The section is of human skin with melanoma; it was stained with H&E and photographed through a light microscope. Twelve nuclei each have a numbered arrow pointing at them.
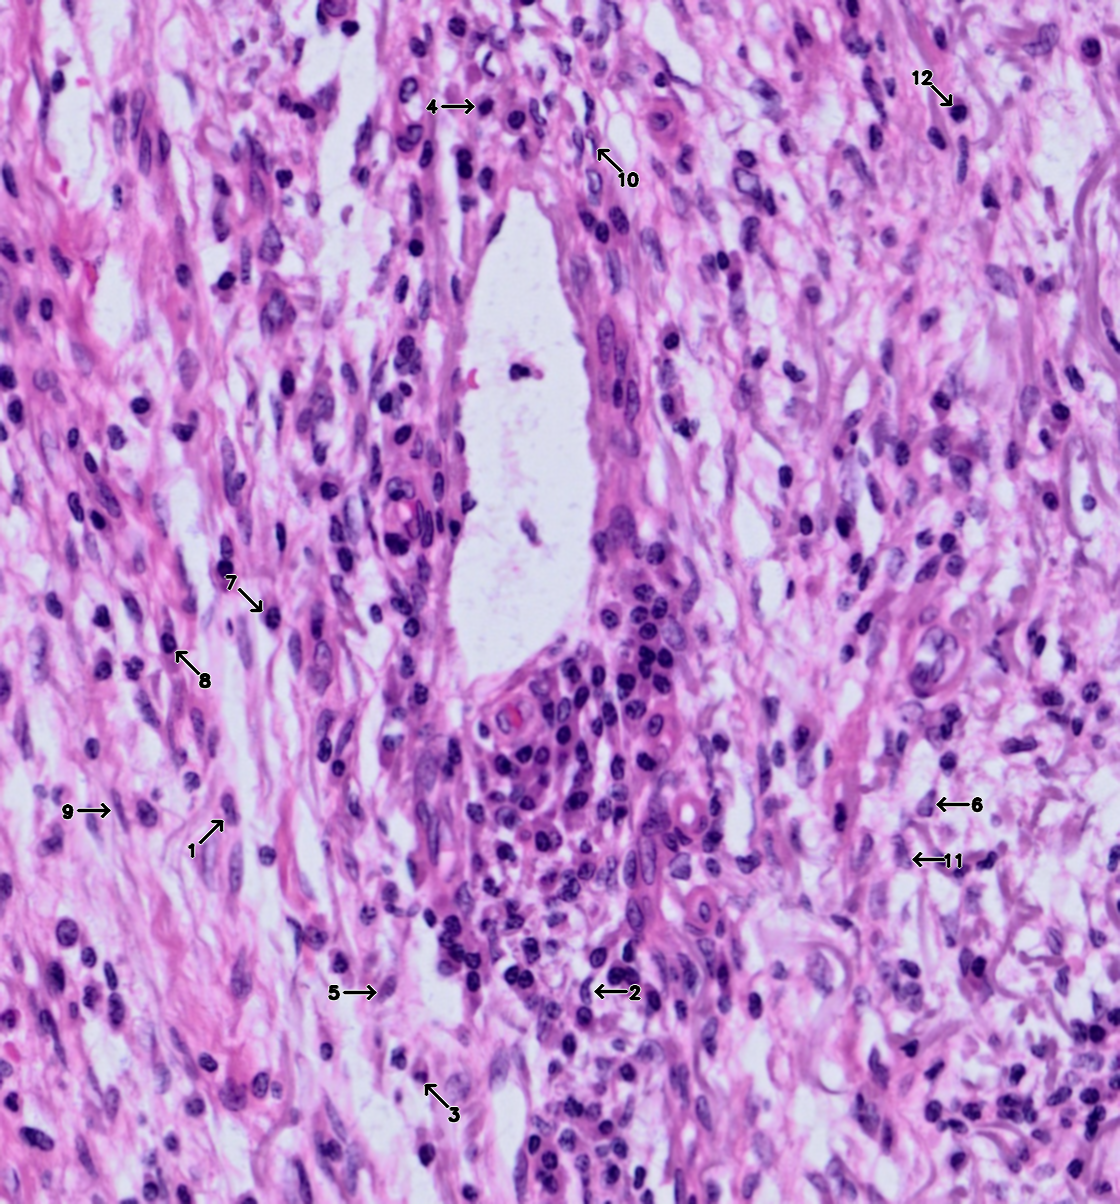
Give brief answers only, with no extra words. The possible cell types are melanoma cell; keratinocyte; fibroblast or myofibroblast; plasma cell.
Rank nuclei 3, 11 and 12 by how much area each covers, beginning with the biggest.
11, 12, 3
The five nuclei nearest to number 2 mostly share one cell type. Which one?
plasma cell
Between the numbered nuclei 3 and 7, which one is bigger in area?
7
